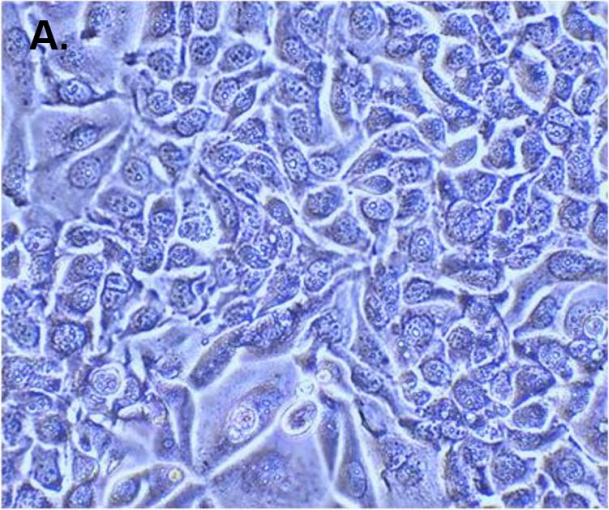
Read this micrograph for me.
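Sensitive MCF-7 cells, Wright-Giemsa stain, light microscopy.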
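Cultured epithelial-like cells grow as a dense, confluent sheet with little space between neighbours. The cells are small and polygonal to oval, packed closely against one another. Each cell has a large, round to oval nucleus occupying much of the cell, with finely granular chromatin and one or more small nucleoli. A few rounded, refractile cells are scattered among the sheet.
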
